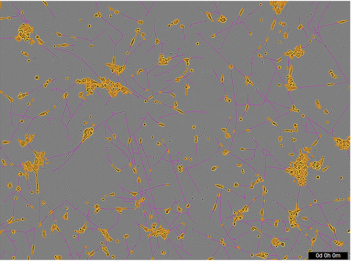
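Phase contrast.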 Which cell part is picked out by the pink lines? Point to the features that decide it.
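Thin pink lines run across the field between the cell groups. The pink lines are long and slender, much longer than the cell bodies. So: neurites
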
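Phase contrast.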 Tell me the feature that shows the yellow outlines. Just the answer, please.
Neuron cell body clusters.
